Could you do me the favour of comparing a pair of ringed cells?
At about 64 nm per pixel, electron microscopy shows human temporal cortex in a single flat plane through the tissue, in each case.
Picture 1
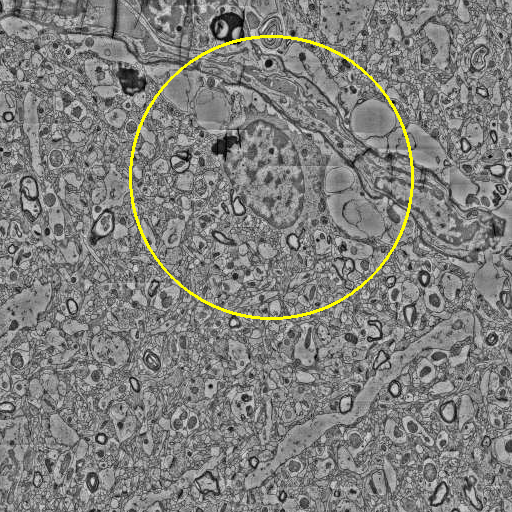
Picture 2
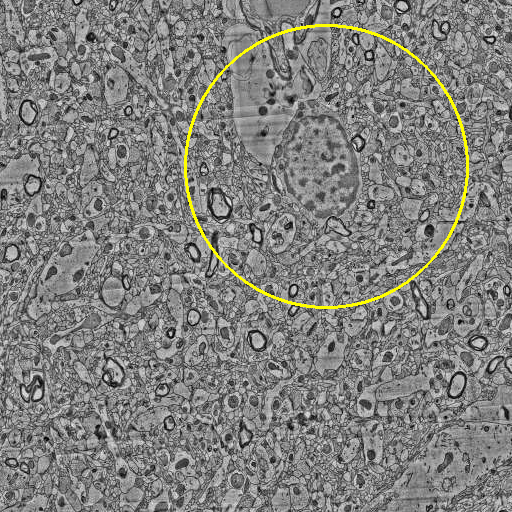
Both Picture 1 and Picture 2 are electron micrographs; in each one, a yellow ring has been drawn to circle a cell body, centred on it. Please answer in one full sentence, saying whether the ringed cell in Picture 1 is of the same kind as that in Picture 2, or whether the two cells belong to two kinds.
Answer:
The ringed cell in Picture 1 is of the same kind as that in Picture 2.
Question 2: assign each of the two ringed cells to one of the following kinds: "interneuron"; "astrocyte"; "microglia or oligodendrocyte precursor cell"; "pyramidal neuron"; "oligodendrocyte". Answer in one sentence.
The ring centre holds an oligodendrocyte in each of the two pictures.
